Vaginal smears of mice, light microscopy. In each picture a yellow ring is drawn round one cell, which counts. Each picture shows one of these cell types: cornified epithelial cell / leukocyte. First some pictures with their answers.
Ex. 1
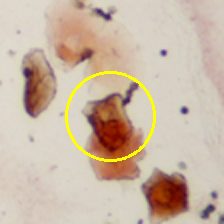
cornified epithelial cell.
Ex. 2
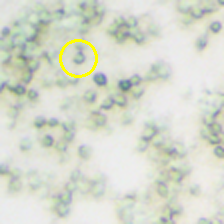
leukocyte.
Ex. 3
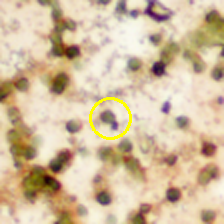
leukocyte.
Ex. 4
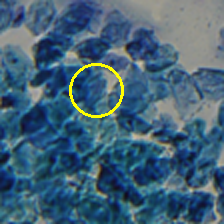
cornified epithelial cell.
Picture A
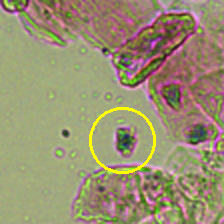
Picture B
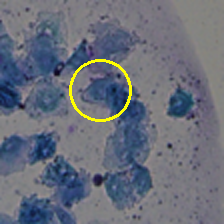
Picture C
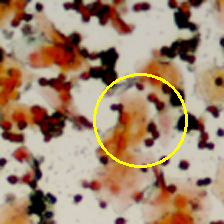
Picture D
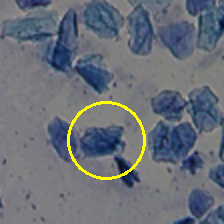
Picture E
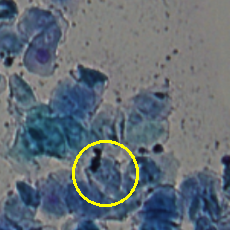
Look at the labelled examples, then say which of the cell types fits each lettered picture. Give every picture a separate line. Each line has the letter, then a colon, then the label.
A: leukocyte.
B: cornified epithelial cell.
C: cornified epithelial cell.
D: cornified epithelial cell.
E: cornified epithelial cell.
